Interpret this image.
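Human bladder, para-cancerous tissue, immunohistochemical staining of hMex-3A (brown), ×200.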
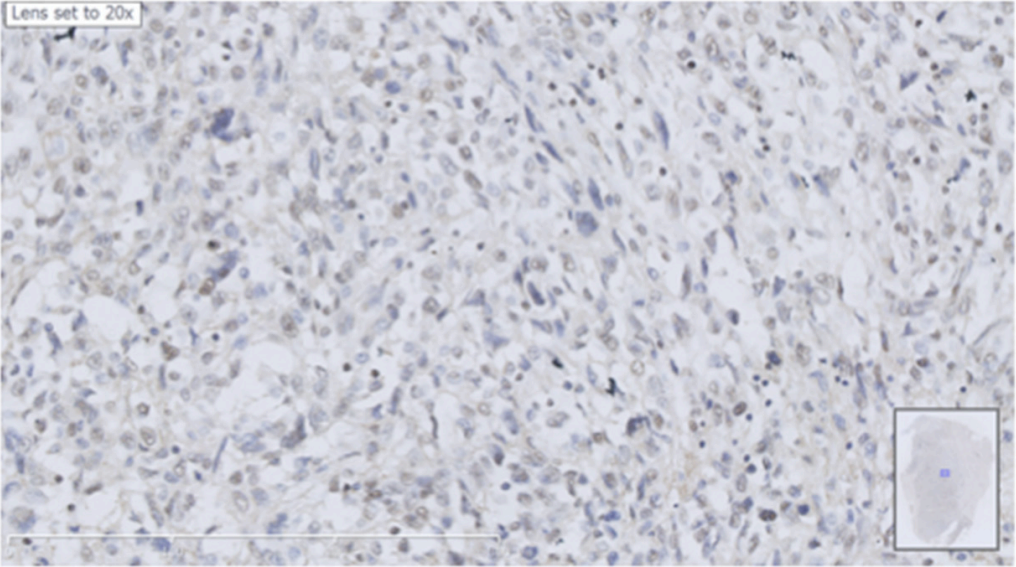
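The cells vary in shape, with oval, irregular and elongated spindle-like nuclei running in different directions. Most nuclei are blue-grey from the counterstain, and only some show a faint brownish tint. Scattered among them are small, dark, round nuclei. The cytoplasm is pale and hardly stained.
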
